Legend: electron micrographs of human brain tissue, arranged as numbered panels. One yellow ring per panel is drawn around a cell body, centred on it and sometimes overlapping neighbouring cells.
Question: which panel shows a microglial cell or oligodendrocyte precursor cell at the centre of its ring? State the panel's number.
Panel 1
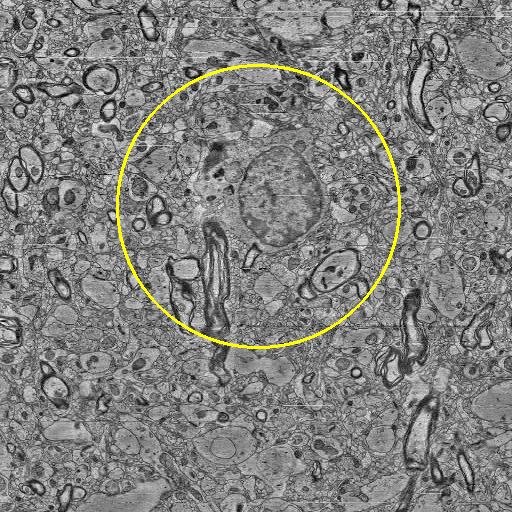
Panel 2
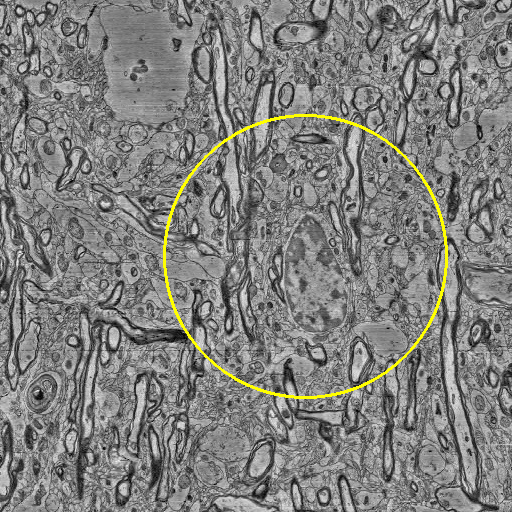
2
